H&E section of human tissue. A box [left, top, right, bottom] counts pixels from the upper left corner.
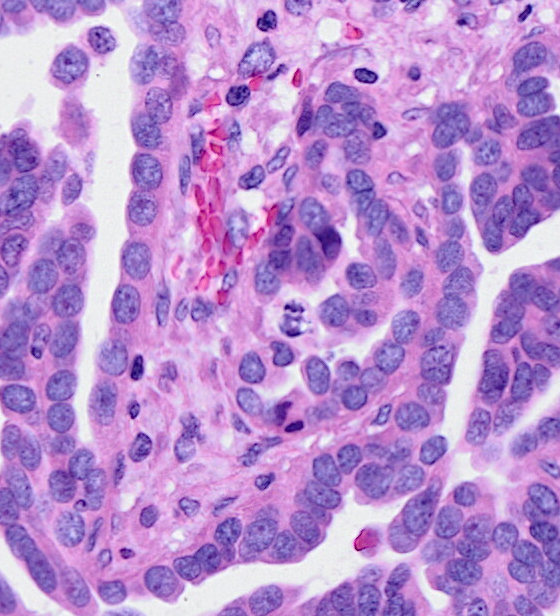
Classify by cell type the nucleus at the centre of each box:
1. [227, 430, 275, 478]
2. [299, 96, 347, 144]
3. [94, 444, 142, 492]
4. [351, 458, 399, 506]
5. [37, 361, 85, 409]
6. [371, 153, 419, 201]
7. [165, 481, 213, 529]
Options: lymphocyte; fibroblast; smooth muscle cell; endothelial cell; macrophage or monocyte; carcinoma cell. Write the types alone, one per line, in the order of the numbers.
fibroblast
carcinoma cell
fibroblast
carcinoma cell
carcinoma cell
fibroblast
fibroblast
